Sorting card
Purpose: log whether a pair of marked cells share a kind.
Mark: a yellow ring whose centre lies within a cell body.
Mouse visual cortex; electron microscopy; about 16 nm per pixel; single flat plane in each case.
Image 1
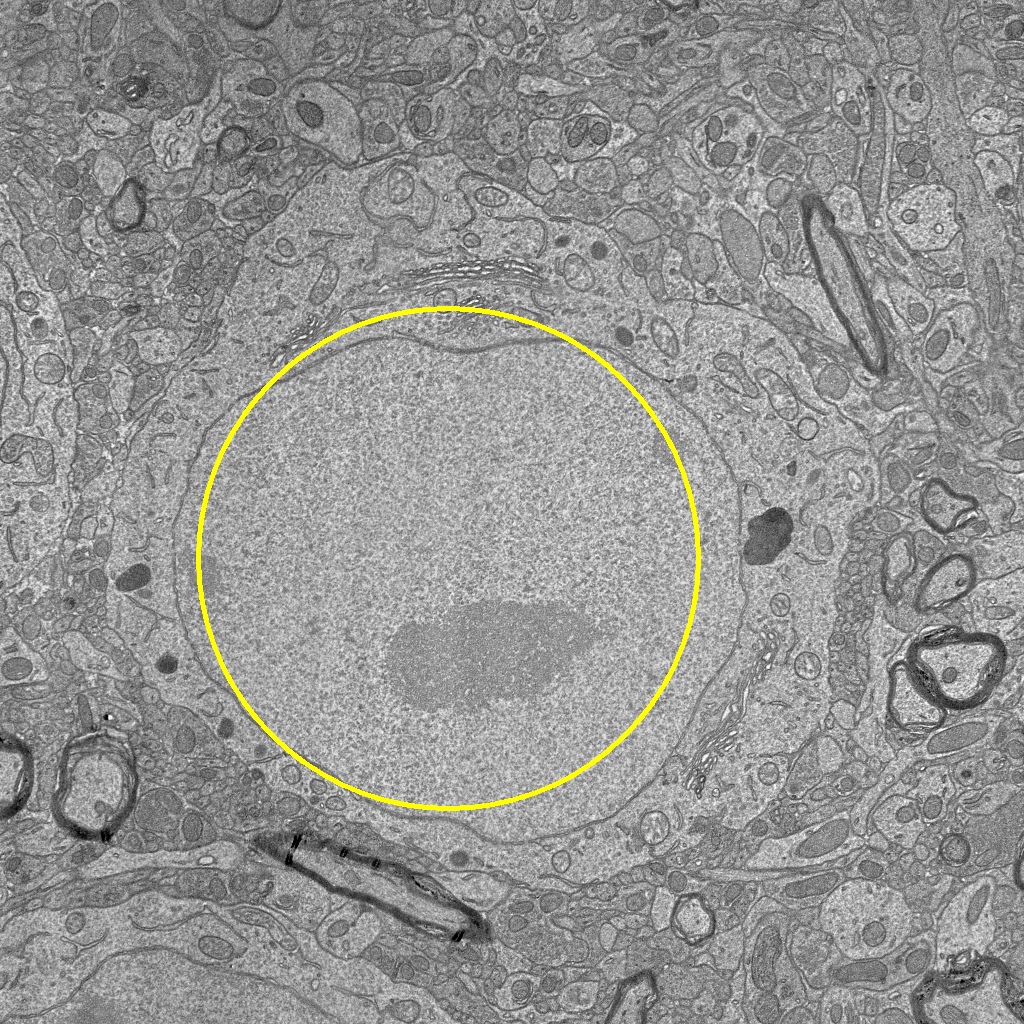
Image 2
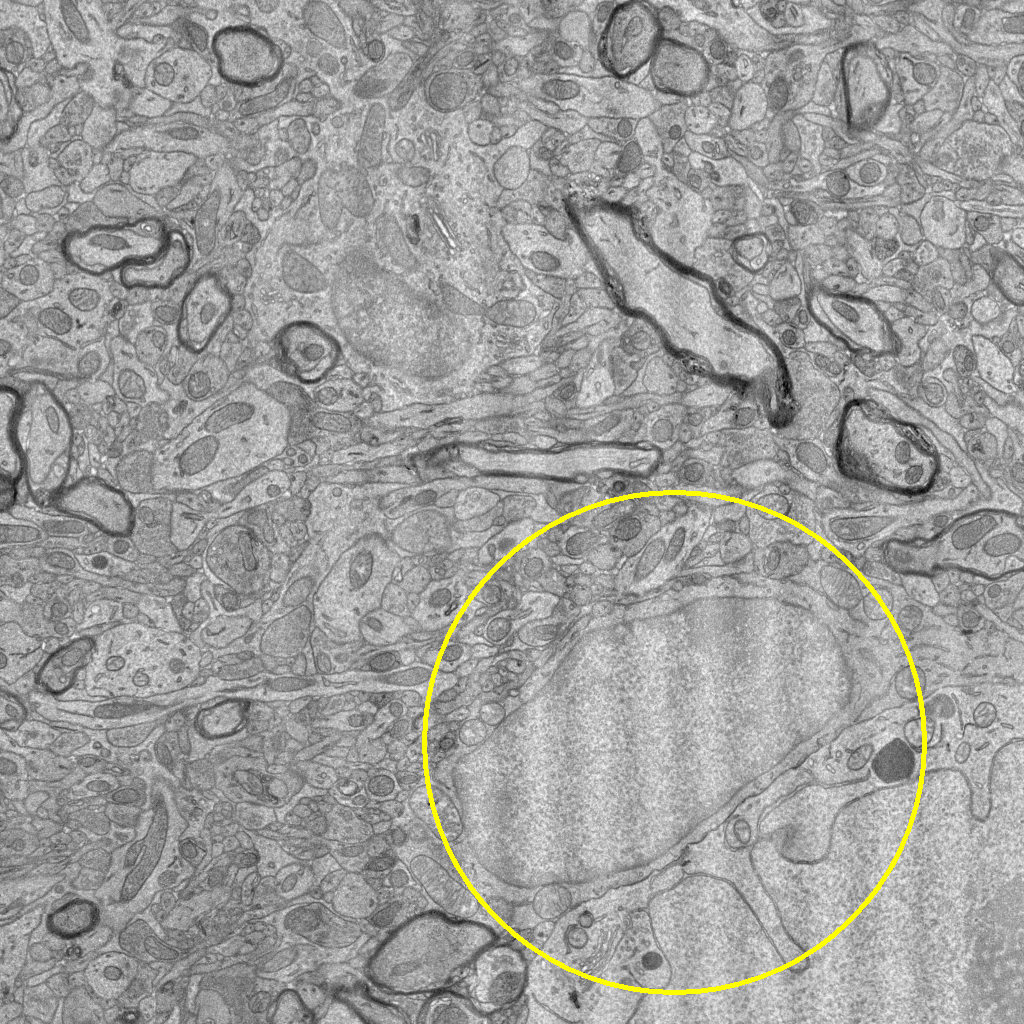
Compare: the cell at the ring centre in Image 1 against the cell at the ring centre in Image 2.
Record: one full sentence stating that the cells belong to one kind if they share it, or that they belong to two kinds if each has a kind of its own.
Across Images 1 and 2, the two cells at the ring centres belong to two kinds.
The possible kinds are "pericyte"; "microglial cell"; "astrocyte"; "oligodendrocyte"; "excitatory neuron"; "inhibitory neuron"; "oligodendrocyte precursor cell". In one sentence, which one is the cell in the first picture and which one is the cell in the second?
The cell marked in the first picture is an excitatory neuron, and the one marked in the second is an oligodendrocyte.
